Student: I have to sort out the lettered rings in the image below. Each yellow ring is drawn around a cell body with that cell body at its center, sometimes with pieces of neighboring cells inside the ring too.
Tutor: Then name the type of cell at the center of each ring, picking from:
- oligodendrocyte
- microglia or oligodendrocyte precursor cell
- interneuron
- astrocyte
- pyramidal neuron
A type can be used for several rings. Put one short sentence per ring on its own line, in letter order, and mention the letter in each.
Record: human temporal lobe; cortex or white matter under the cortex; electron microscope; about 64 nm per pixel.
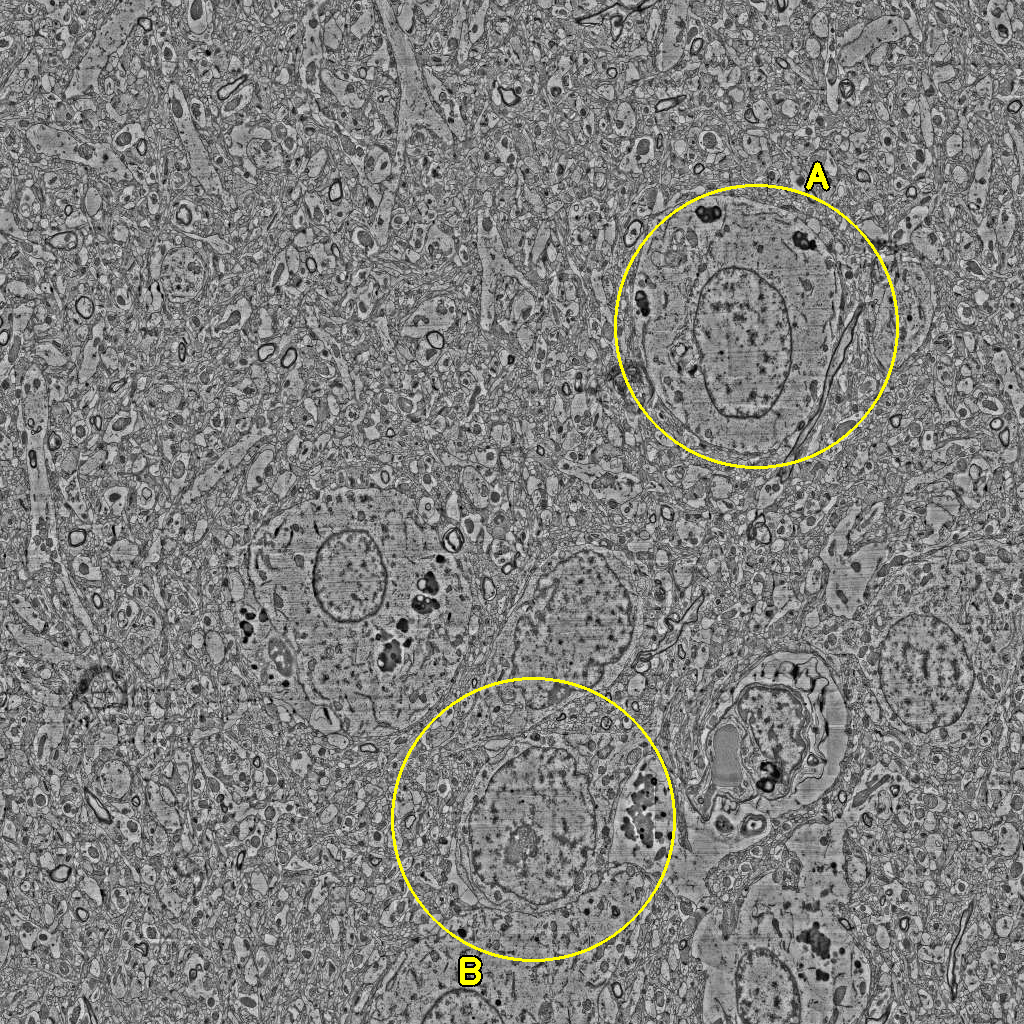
Inside ring A, at its center, is a pyramidal neuron.
Inside ring B, at its center, is an interneuron.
